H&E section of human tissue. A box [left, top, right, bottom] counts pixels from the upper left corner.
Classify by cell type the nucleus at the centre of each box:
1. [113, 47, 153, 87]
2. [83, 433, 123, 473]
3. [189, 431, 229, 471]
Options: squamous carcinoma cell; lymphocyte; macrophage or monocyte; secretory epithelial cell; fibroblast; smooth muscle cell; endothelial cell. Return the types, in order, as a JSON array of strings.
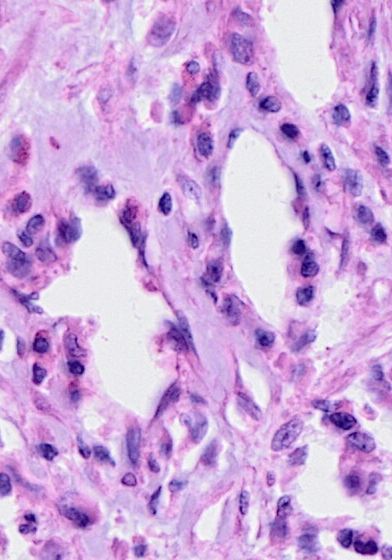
["fibroblast", "lymphocyte", "fibroblast"]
